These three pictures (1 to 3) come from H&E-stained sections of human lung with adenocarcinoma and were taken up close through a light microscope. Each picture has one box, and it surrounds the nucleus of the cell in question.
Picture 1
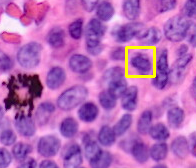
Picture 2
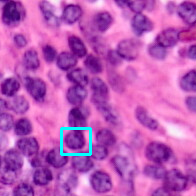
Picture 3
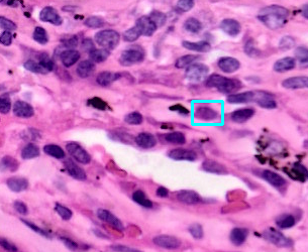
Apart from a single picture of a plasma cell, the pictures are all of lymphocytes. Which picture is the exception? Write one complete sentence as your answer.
The picture with the plasma cell is 3.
